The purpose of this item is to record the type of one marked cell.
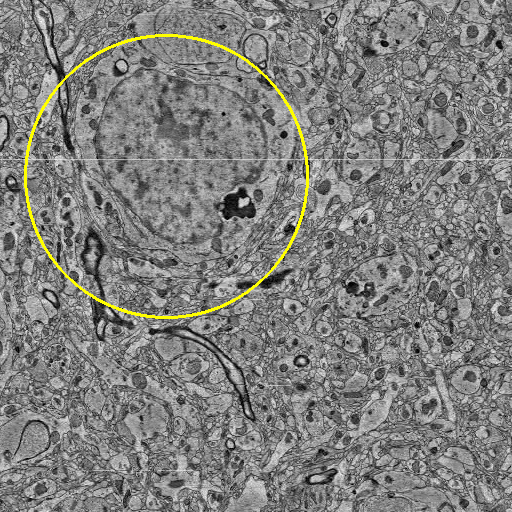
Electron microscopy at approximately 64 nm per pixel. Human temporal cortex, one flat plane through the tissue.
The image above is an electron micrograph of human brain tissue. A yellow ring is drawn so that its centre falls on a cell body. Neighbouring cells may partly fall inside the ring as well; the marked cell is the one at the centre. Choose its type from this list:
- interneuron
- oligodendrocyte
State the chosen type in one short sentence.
What the ring marks here is an interneuron.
